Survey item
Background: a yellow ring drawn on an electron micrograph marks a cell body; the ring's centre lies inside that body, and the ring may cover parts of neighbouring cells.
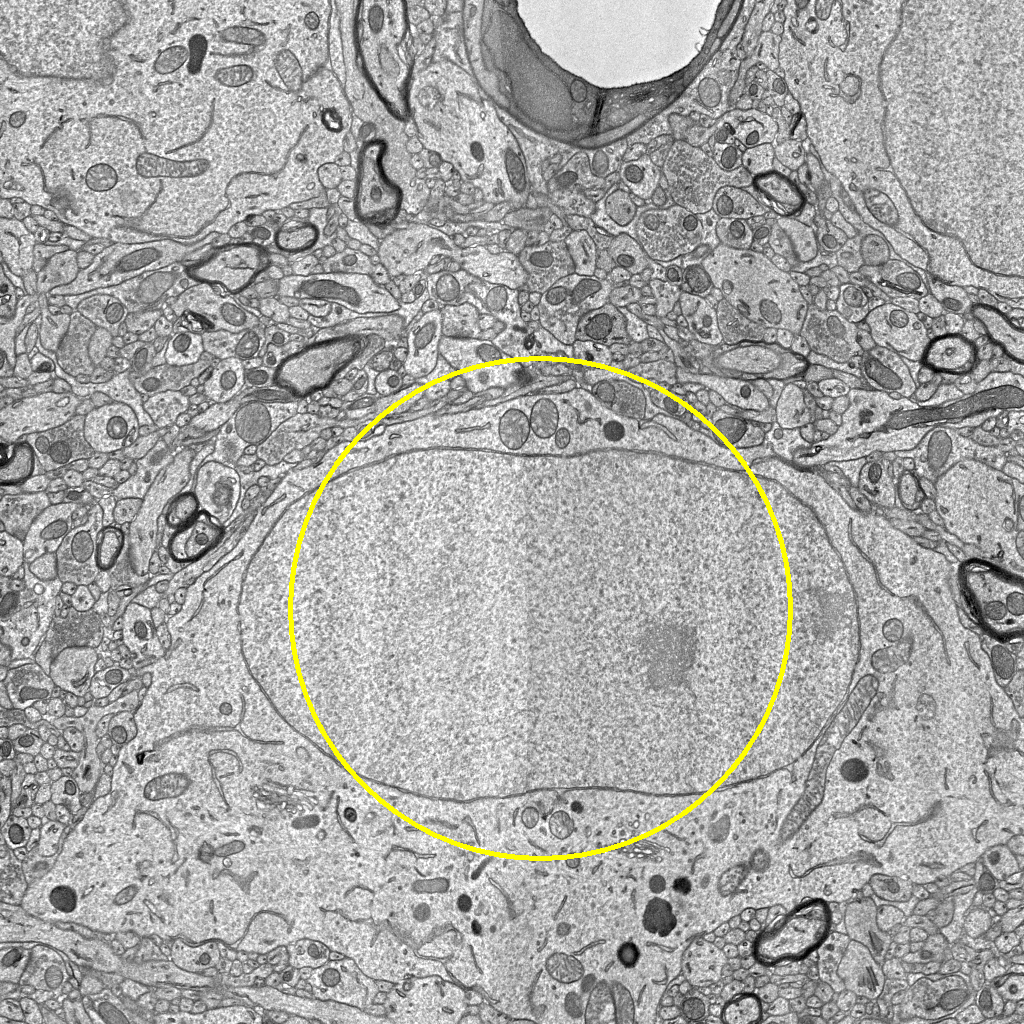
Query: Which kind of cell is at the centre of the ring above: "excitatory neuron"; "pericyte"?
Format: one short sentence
The cell in the middle of the ring is an excitatory neuron.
